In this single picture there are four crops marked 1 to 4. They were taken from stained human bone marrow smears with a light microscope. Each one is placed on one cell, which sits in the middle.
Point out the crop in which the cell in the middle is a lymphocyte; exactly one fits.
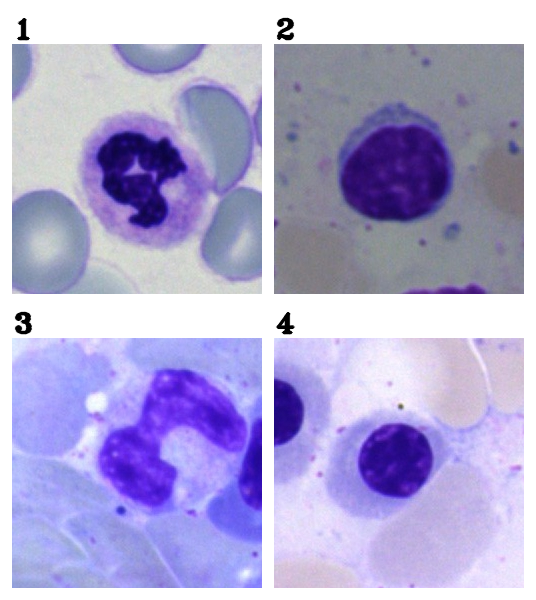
2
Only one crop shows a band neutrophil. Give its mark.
3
